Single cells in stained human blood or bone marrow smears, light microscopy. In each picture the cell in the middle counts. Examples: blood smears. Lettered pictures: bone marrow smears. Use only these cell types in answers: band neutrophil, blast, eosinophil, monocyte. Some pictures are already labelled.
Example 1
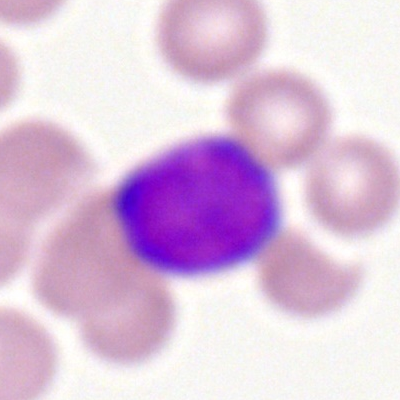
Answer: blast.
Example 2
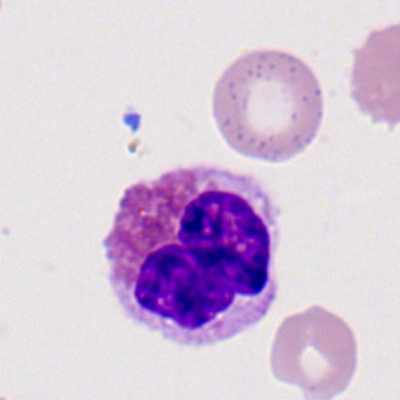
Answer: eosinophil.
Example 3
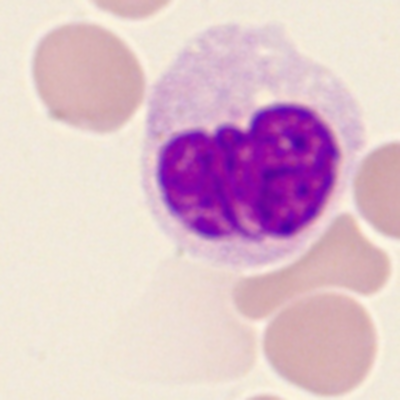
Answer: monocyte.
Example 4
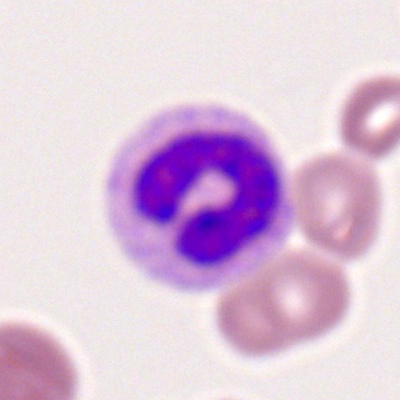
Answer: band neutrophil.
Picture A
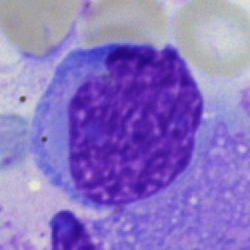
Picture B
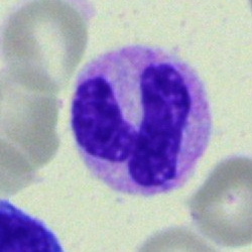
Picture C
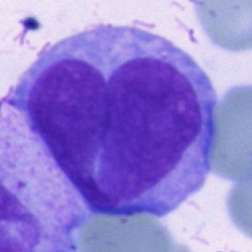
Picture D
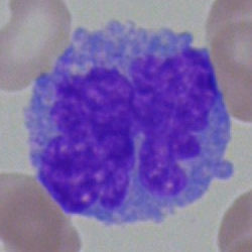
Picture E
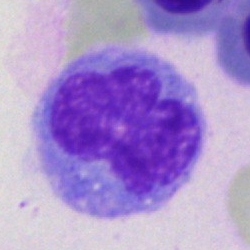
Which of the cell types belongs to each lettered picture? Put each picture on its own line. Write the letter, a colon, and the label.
A: blast.
B: band neutrophil.
C: blast.
D: monocyte.
E: monocyte.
